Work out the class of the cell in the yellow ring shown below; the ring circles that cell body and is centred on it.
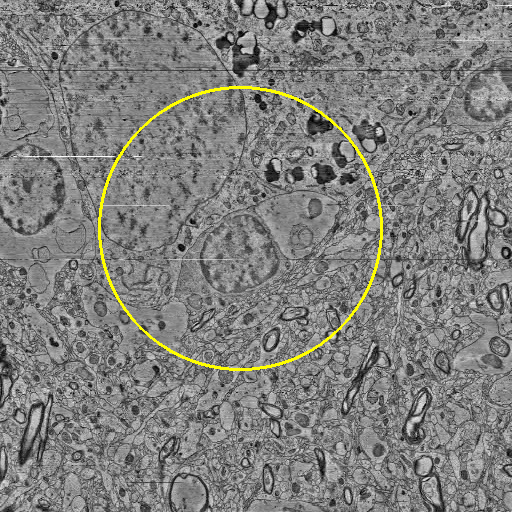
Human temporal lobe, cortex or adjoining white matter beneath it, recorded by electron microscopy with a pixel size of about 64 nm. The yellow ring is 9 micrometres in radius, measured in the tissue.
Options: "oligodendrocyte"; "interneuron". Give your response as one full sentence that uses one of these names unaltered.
The body ringed in yellow, right at the ring's centre, is that of an oligodendrocyte.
